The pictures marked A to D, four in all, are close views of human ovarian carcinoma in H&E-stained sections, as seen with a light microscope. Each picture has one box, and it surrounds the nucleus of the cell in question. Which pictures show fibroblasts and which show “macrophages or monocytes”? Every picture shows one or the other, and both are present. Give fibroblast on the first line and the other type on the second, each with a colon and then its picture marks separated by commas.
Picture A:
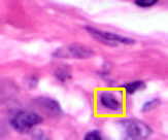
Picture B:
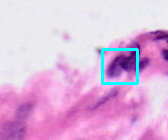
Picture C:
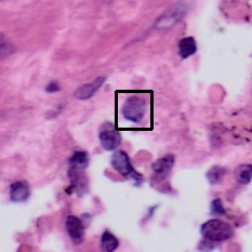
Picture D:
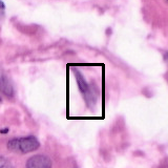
fibroblast: D
macrophage or monocyte: A, B, C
